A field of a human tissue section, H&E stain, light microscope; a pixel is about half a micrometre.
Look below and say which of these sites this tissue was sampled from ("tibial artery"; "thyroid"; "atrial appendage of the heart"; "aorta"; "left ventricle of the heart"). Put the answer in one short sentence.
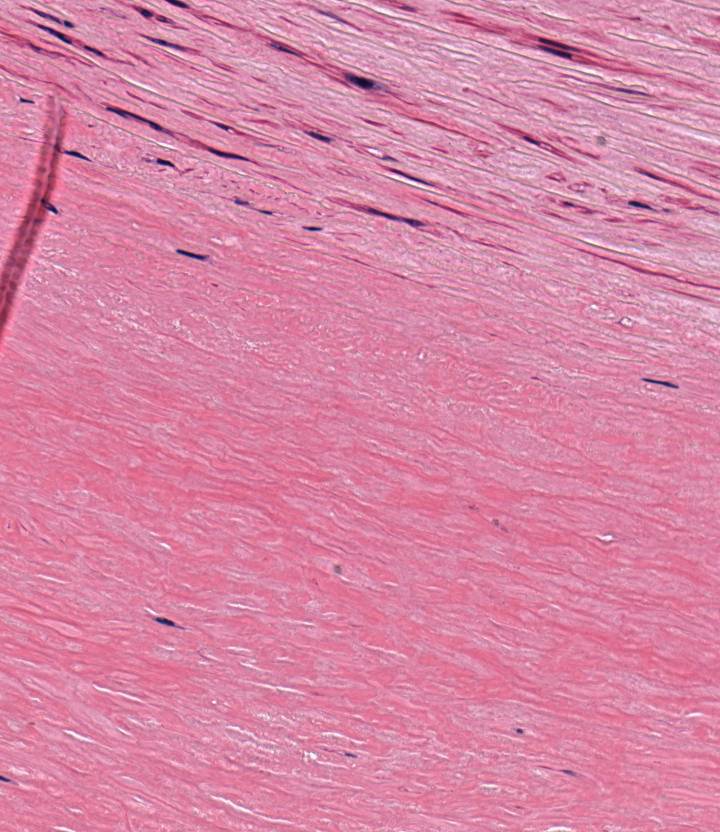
The site this tissue was sampled from is the aorta.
